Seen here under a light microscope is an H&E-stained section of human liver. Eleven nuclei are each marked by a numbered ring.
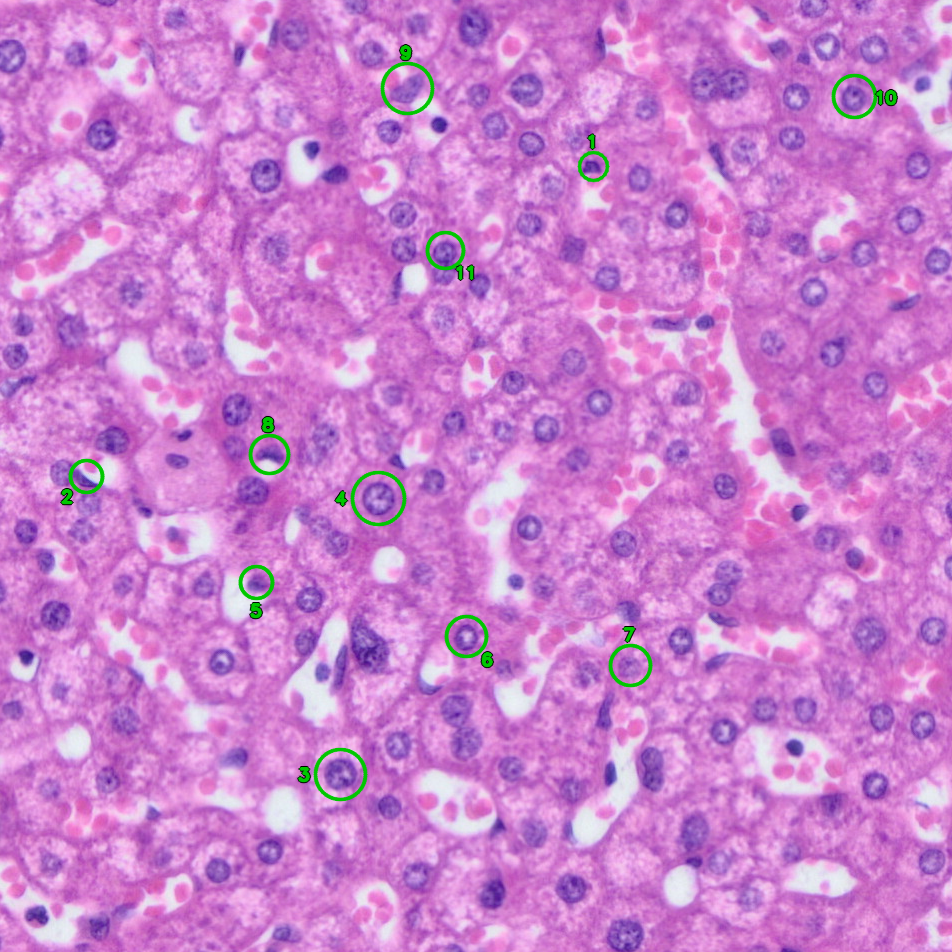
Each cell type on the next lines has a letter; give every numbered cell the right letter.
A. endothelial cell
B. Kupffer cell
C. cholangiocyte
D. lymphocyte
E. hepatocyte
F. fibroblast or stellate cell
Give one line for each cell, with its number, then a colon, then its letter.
1: F
2: A
3: E
4: E
5: B
6: E
7: E
8: A
9: B
10: E
11: E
